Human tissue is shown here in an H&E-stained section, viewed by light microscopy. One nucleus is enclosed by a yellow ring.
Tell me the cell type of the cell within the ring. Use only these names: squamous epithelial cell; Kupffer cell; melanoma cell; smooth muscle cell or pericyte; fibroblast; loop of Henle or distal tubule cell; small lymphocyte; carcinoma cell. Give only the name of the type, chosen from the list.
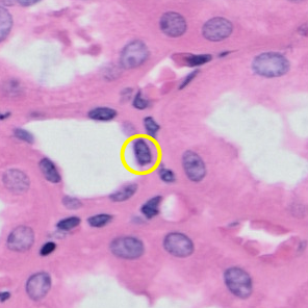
loop of Henle or distal tubule cell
